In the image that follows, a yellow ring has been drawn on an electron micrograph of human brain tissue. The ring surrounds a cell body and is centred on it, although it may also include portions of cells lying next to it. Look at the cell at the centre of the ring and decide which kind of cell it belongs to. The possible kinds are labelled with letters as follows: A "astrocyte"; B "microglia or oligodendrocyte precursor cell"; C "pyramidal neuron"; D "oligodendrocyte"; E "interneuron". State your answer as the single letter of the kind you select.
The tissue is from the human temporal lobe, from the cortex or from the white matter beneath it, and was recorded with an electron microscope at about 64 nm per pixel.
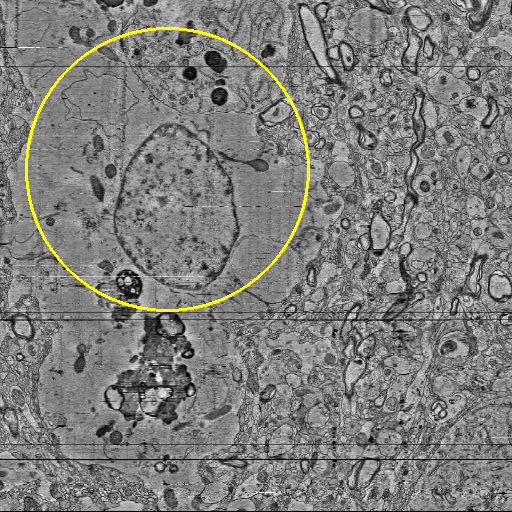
A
